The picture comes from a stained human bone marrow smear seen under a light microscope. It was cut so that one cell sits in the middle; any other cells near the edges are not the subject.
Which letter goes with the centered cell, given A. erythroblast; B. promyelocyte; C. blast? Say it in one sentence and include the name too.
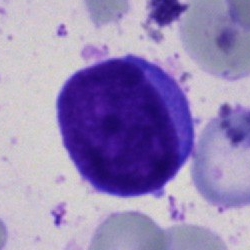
The correct option, C, names the middle cell as a blast.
